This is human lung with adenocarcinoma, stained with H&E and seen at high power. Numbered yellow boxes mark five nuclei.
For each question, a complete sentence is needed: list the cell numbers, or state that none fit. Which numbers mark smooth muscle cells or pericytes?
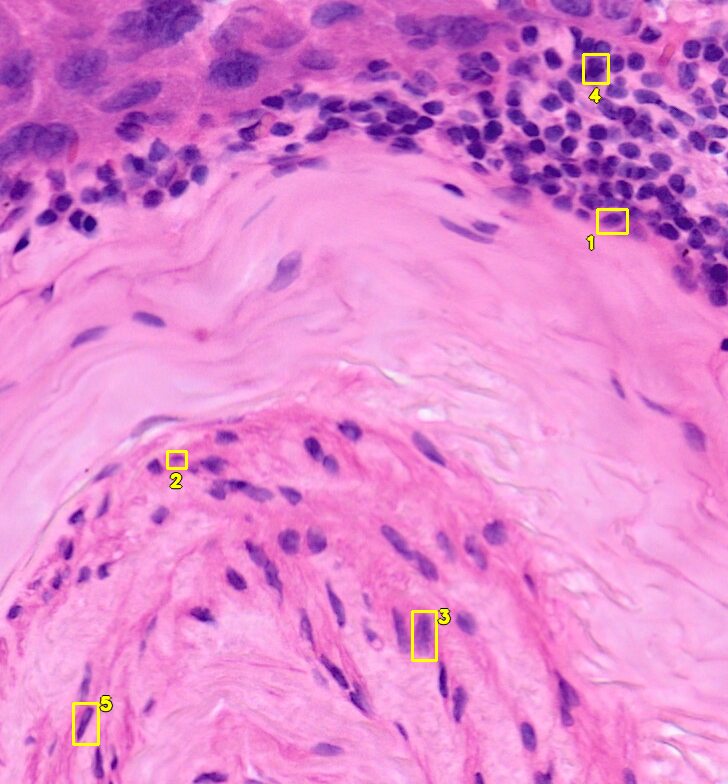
The cells identified by the numbers 2, 3 and 5 are smooth muscle cells or pericytes.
